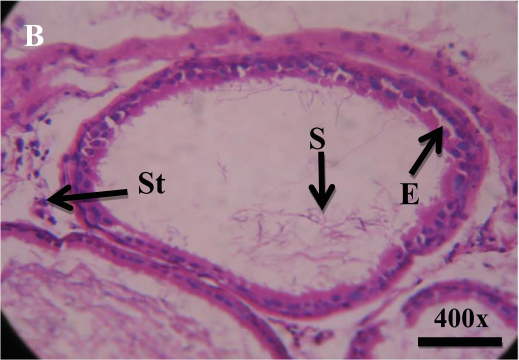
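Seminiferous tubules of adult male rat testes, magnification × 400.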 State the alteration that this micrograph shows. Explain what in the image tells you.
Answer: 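Empty lumen. The central lumen of the tubule is mostly pale and clear. Only a few scattered thin strands lie in the lumen.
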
